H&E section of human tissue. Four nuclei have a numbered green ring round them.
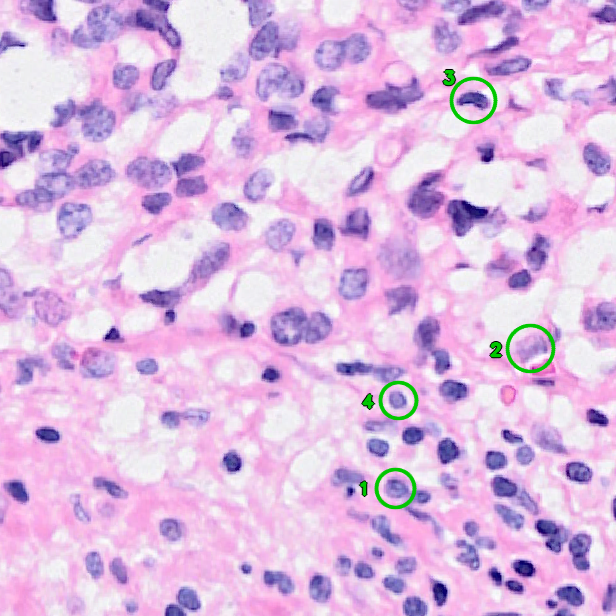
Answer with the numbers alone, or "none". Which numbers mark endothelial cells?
2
